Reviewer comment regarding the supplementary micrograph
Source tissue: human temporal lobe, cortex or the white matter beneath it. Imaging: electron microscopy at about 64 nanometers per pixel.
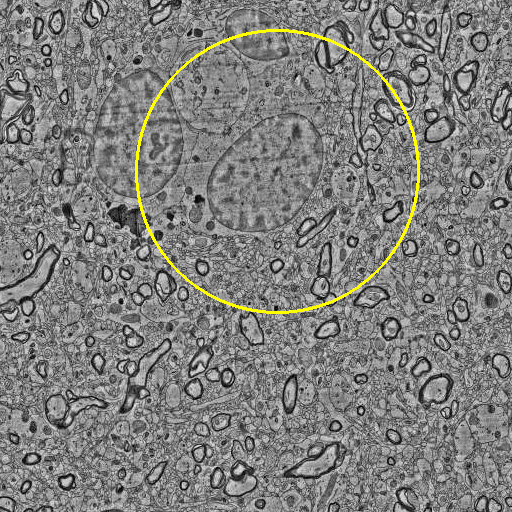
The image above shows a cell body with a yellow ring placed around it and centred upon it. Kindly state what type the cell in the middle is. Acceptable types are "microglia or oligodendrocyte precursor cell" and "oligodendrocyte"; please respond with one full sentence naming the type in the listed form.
In the image above, the cell on which the yellow ring is centred is an oligodendrocyte.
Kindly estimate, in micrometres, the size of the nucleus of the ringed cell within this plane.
Approximately 9 micrometres long and 6 micrometres wide, in this plane.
